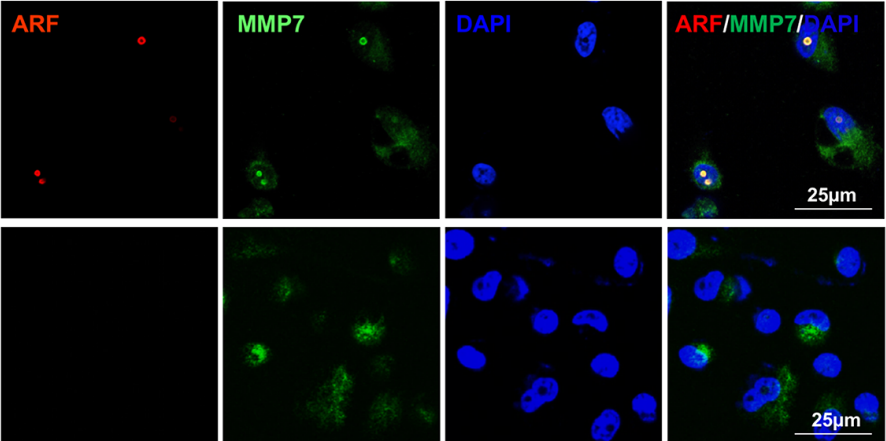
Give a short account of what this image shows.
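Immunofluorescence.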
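A granular green signal fills the cytoplasm and is often densest in a patch beside the nucleus. In the upper row a few nuclei hold small, bright red and green dots that overlap and look yellow in the merged image. In the lower row there is no red, and the green lies mostly outside the nuclei.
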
